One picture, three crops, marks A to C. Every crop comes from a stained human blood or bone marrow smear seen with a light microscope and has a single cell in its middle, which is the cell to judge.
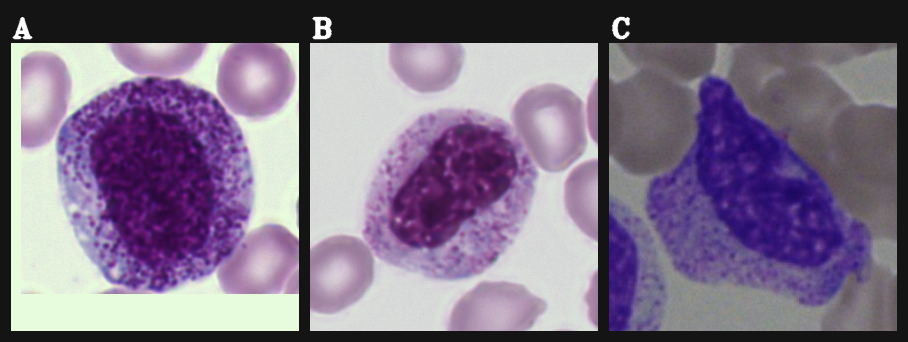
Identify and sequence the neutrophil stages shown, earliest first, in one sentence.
The least to most mature ordering of the crops is crop A (a promyelocyte), crop C (a myelocyte) and crop B (a metamyelocyte).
